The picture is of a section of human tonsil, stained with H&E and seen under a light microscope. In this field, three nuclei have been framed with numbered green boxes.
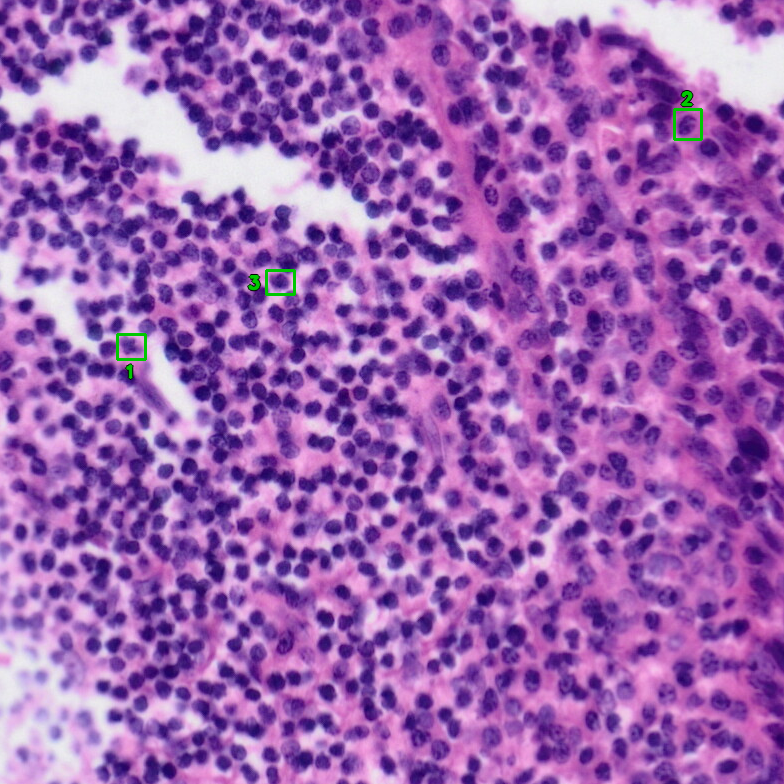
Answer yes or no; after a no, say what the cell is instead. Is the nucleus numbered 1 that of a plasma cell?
No, it is a small lymphocyte.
